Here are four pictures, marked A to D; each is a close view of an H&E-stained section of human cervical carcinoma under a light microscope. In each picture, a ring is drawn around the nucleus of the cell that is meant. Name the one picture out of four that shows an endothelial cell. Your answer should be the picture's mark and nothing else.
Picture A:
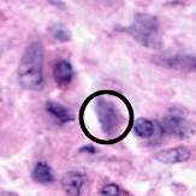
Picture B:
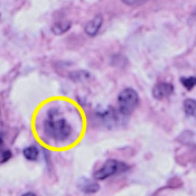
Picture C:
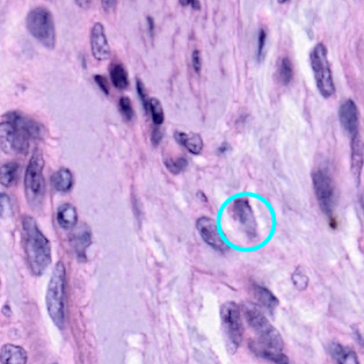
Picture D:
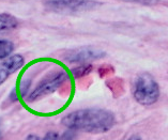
D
